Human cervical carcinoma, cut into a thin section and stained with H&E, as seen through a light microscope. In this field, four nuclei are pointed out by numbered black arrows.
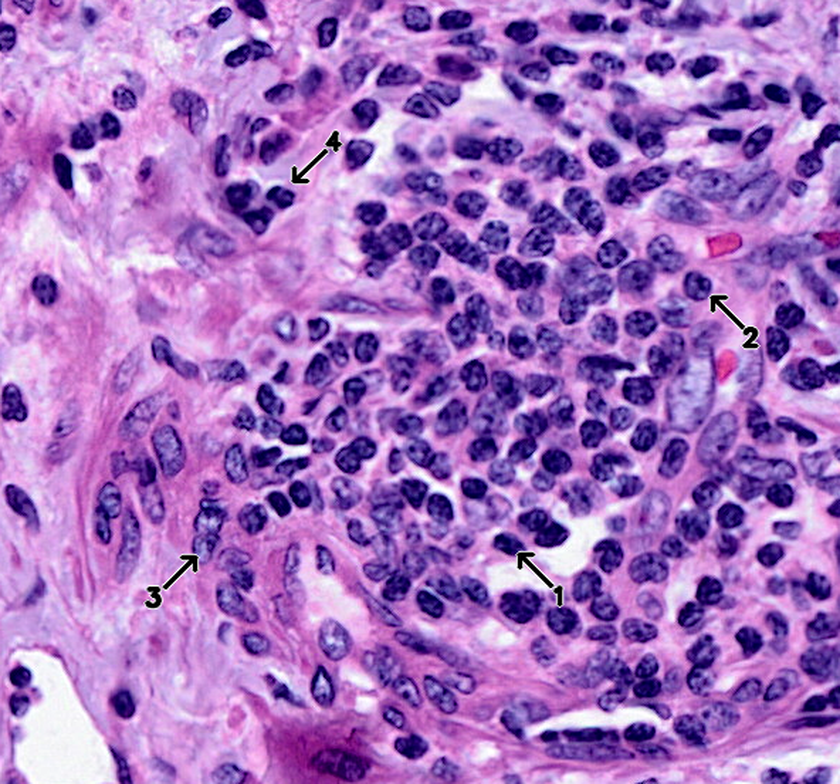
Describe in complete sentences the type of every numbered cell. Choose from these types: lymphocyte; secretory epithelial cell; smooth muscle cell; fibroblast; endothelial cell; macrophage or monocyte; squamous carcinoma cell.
Cell 1 is a lymphocyte, cell 2 is a lymphocyte, cell 3 is an endothelial cell and cell 4 is a lymphocyte.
